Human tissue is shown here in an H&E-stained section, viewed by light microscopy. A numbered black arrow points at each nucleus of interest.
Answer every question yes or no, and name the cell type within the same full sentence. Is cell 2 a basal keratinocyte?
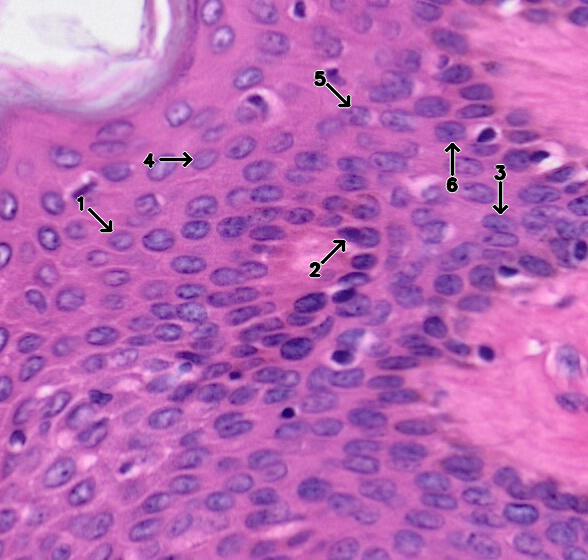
Yes, kindly take note: the cell numbered 2 is a basal keratinocyte.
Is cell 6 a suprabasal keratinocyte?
No, sorry, the cell labelled 6 is not a suprabasal keratinocyte; it is a basal keratinocyte.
